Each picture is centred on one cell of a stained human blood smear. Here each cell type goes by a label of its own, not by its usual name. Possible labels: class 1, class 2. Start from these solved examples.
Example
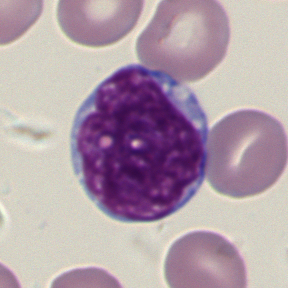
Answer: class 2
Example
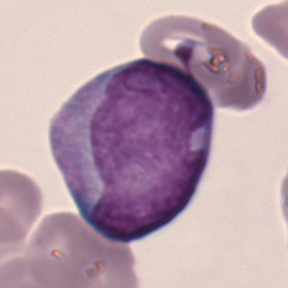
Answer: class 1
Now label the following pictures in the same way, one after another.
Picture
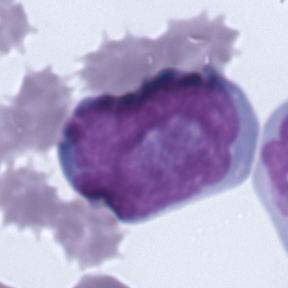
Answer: class 2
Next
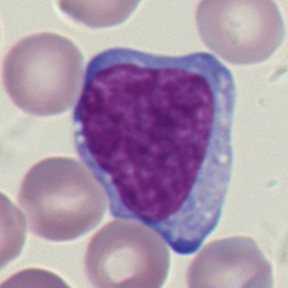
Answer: class 2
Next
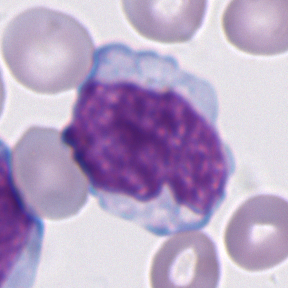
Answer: class 2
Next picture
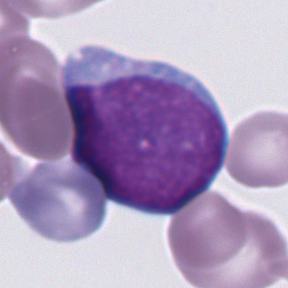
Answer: class 2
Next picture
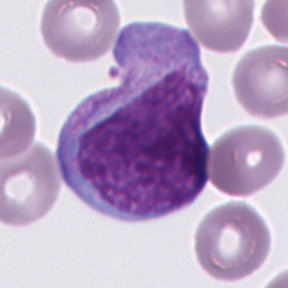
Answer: class 1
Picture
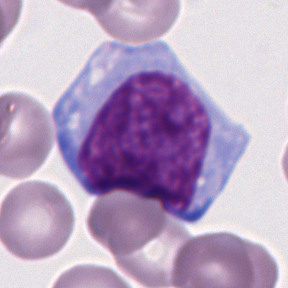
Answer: class 2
